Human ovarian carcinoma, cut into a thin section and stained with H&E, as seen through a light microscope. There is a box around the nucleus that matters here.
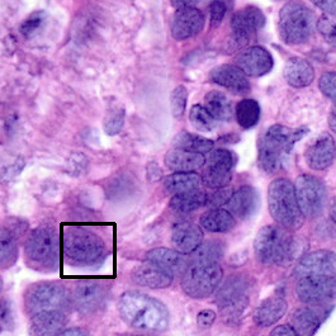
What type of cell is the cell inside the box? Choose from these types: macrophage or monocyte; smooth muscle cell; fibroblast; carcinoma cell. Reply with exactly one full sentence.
Assigned to a cell type, the cell inside the box is a carcinoma cell.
